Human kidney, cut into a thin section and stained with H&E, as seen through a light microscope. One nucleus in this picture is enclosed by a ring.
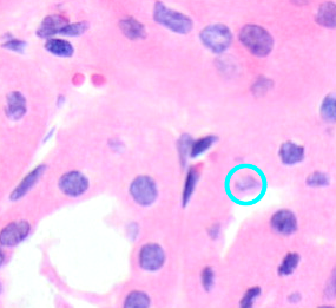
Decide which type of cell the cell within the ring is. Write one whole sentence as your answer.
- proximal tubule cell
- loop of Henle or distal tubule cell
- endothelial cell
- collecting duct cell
By its classification, the cell within the ring is a loop of Henle or distal tubule cell.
